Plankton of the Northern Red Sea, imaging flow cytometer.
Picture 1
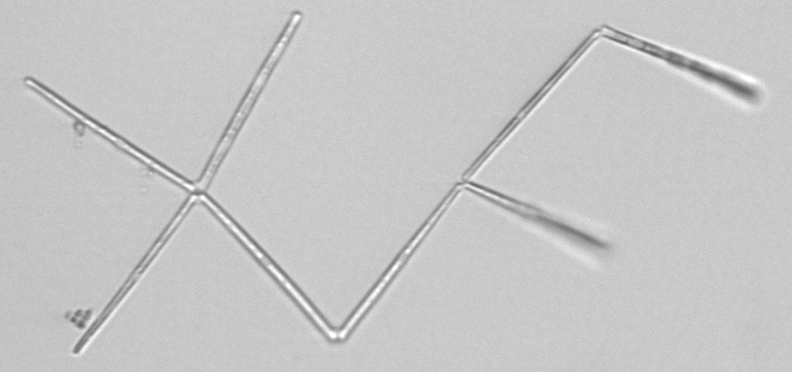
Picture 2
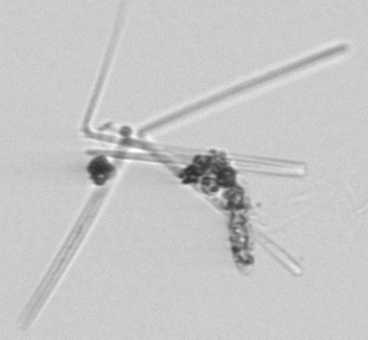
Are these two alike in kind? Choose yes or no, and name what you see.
Yes. Thalassionema.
